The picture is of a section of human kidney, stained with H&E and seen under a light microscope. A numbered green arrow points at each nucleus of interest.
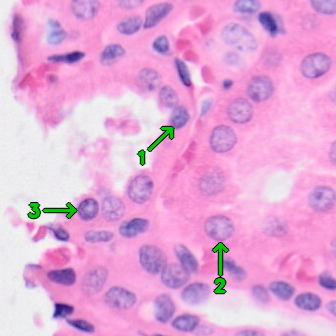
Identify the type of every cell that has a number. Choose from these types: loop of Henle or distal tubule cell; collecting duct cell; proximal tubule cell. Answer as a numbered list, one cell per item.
1. loop of Henle or distal tubule cell
2. proximal tubule cell
3. loop of Henle or distal tubule cell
